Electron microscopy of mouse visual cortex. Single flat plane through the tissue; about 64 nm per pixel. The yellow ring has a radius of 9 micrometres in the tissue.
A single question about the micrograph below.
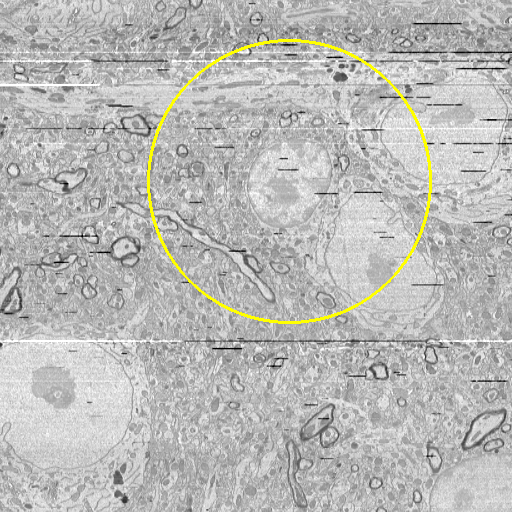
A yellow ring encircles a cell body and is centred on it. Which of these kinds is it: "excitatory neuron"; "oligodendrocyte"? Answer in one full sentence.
The cell body at the centre of the yellow ring belongs to an oligodendrocyte.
